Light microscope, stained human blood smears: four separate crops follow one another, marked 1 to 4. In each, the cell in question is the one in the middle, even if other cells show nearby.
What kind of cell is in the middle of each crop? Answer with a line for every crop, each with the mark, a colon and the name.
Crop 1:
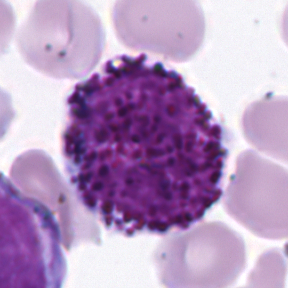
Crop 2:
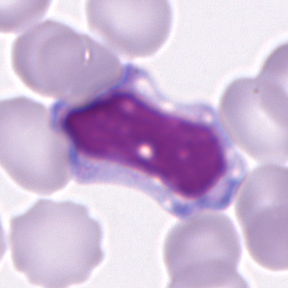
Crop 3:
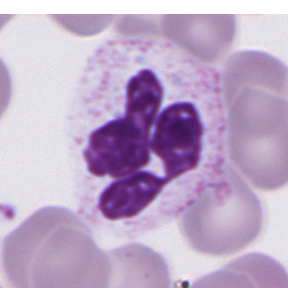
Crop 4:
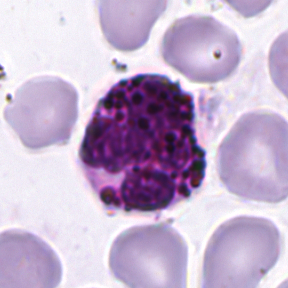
1: basophil
2: typical lymphocyte
3: segmented neutrophil
4: basophil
